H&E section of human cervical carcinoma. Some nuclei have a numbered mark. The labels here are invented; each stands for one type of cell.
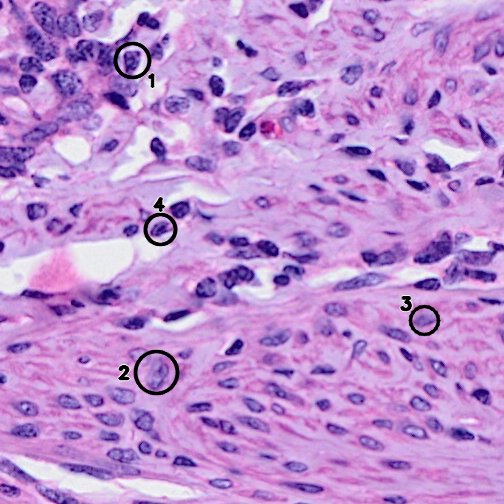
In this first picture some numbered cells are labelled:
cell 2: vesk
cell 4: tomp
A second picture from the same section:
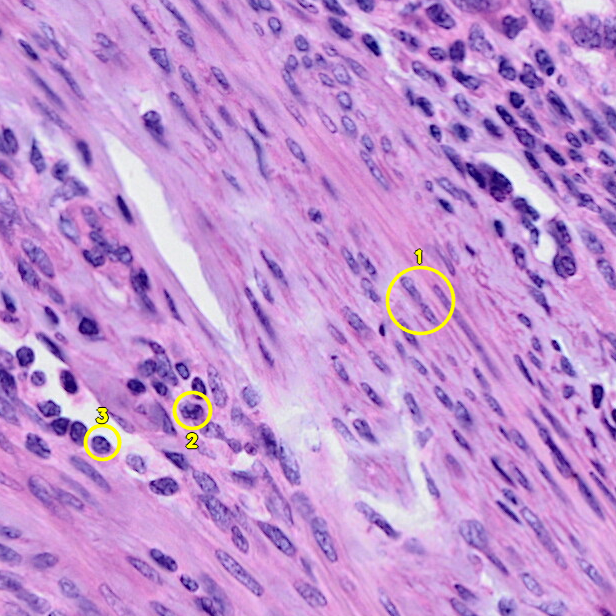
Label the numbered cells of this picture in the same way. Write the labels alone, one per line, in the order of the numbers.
vesk
tomp
tomp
